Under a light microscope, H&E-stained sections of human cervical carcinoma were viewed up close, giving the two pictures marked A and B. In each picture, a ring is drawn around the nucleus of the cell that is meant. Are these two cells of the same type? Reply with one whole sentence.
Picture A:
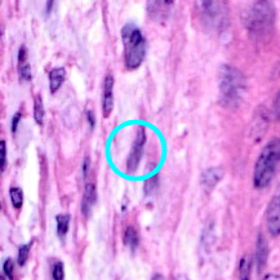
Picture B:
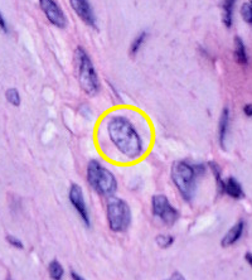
No; the cell in picture A is a fibroblast, while the one in picture B is an endothelial cell.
